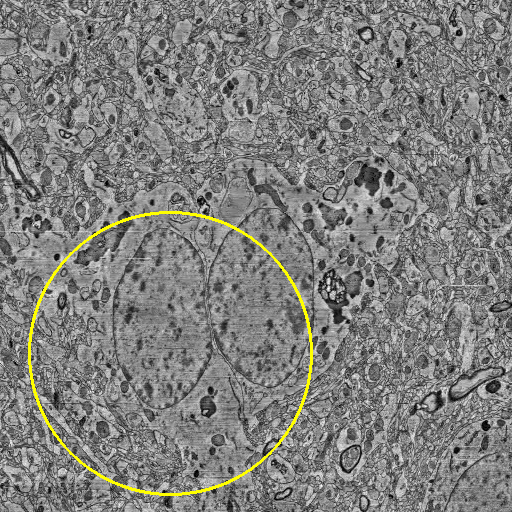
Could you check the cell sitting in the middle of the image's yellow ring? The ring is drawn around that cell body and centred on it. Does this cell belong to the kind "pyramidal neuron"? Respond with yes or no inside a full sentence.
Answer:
No, this cell in the middle of the yellow ring is one of a different kind.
